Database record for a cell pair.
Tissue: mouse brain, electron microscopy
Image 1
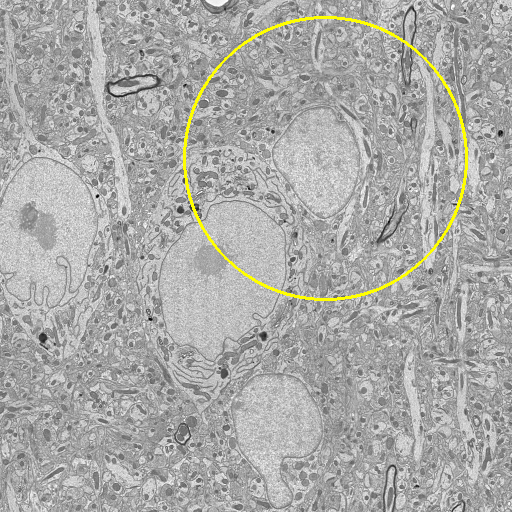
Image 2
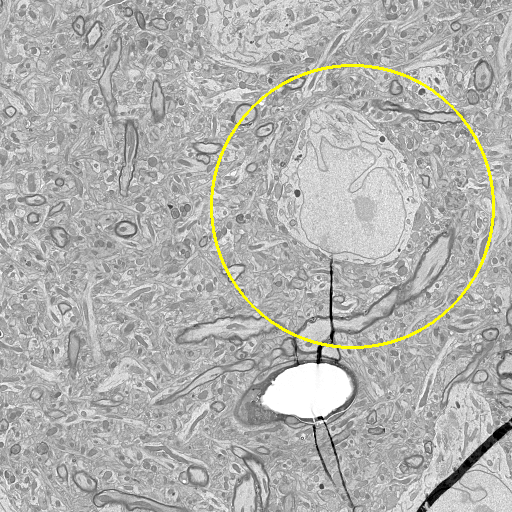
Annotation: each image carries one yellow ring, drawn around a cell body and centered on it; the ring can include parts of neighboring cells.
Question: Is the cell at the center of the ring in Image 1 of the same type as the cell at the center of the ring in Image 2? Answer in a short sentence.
No, the cells are of two types.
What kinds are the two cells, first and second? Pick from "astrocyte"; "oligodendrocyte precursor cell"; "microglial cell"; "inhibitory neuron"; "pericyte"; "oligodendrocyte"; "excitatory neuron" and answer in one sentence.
The second picture holds an excitatory neuron in its ring, and the first holds an astrocyte.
